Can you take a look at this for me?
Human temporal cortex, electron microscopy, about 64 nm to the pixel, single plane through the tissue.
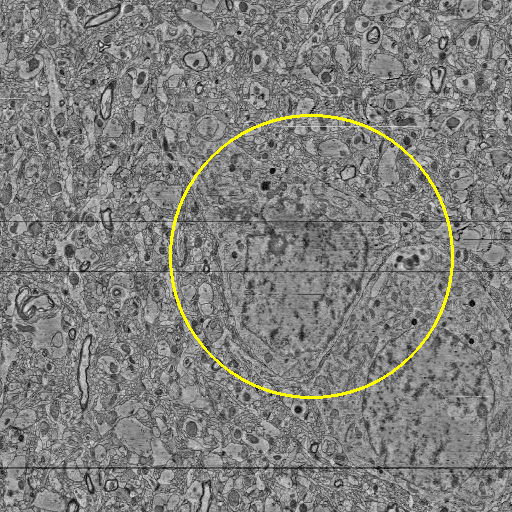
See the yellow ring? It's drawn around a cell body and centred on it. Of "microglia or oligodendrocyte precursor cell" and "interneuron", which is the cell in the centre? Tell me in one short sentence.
The one in the centre is an interneuron.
